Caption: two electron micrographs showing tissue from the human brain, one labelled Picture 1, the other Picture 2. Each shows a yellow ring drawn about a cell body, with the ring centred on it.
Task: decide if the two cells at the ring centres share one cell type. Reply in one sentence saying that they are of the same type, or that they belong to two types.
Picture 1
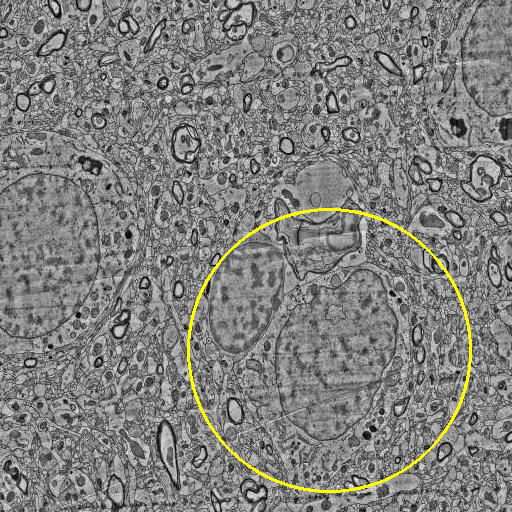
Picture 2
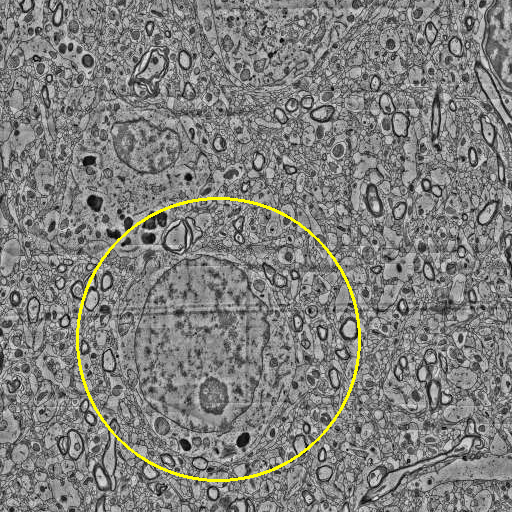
The cells at the ring centres in Picture 1 and Picture 2 are of the same type.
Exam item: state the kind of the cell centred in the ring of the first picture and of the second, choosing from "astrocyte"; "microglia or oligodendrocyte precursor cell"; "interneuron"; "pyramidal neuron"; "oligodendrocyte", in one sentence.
The ring centre holds a pyramidal neuron in each of the two pictures.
